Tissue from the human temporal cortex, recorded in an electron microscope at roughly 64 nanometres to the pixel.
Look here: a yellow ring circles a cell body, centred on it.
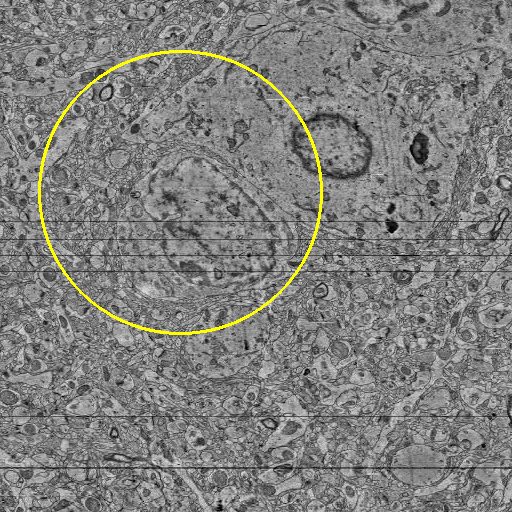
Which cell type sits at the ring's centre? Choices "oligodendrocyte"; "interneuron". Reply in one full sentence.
The cell at the centre of the yellow ring in the picture is an interneuron.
